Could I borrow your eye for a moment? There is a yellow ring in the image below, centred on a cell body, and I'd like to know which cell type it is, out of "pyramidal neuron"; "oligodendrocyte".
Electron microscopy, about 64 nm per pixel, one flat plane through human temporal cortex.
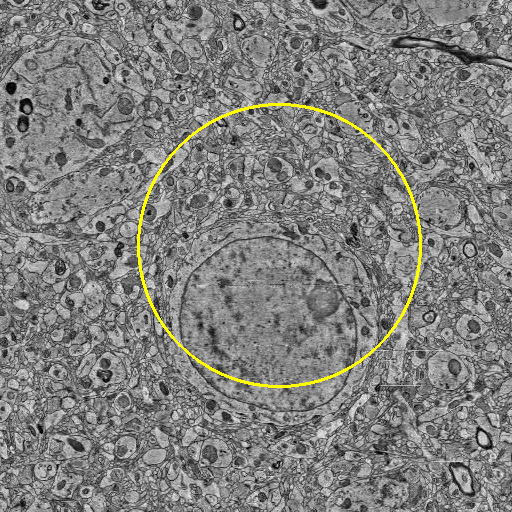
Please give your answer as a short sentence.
The cell body at the centre is that of a pyramidal neuron.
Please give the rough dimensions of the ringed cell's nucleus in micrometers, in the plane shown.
In this plane, approximately 11 micrometres across.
